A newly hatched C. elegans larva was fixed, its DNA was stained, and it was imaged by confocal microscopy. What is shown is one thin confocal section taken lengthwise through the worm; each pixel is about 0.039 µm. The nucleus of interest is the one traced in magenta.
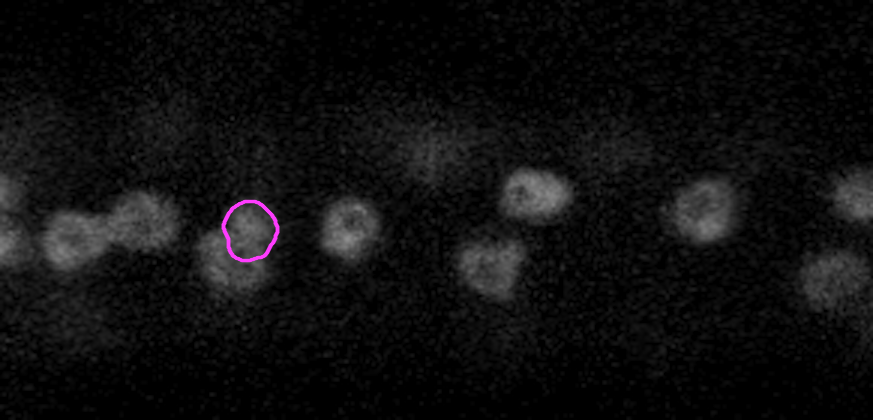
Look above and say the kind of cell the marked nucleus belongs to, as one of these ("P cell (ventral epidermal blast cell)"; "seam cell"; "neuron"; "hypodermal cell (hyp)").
neuron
